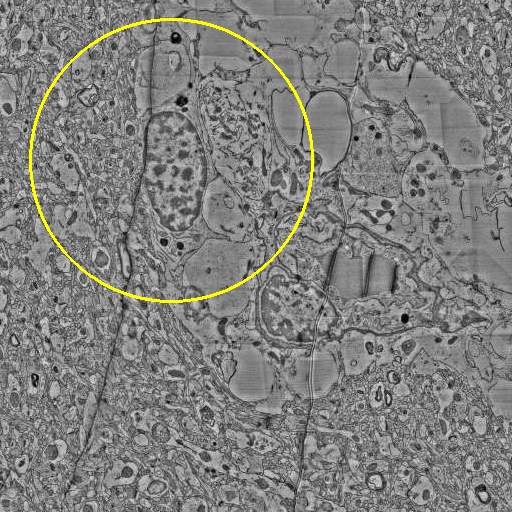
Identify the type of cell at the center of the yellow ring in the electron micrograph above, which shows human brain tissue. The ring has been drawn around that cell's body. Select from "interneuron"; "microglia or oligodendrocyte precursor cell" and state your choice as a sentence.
The yellow ring is centered on the body of a microglial cell or oligodendrocyte precursor cell.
